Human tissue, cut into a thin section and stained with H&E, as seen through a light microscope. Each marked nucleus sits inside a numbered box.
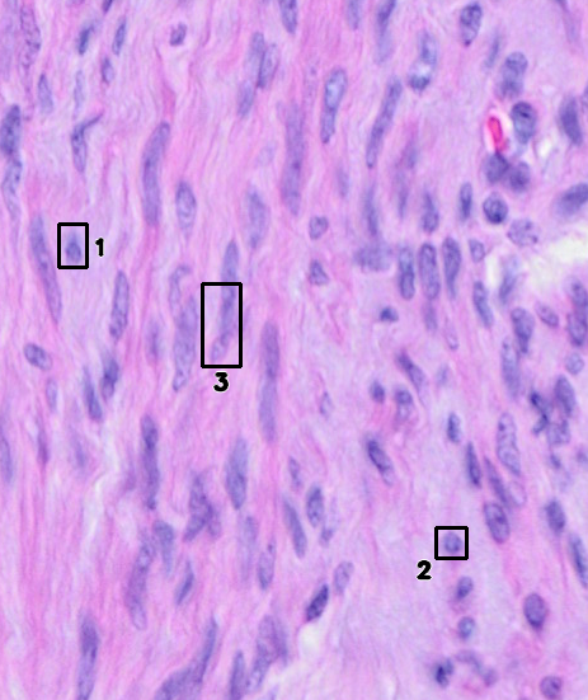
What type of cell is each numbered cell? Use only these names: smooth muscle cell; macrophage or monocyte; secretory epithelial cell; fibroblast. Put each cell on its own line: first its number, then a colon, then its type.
1: fibroblast
2: smooth muscle cell
3: smooth muscle cell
